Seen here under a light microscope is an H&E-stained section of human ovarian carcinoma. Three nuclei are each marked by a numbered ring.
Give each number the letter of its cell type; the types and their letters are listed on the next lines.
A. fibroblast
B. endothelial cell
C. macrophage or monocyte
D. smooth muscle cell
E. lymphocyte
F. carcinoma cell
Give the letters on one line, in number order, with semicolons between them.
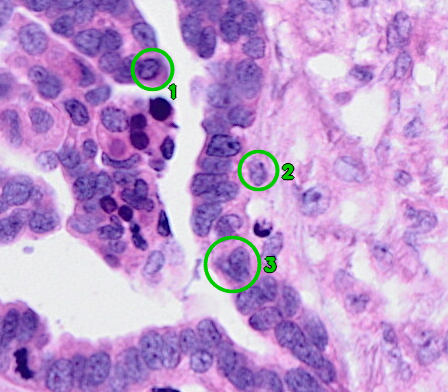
F; C; F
